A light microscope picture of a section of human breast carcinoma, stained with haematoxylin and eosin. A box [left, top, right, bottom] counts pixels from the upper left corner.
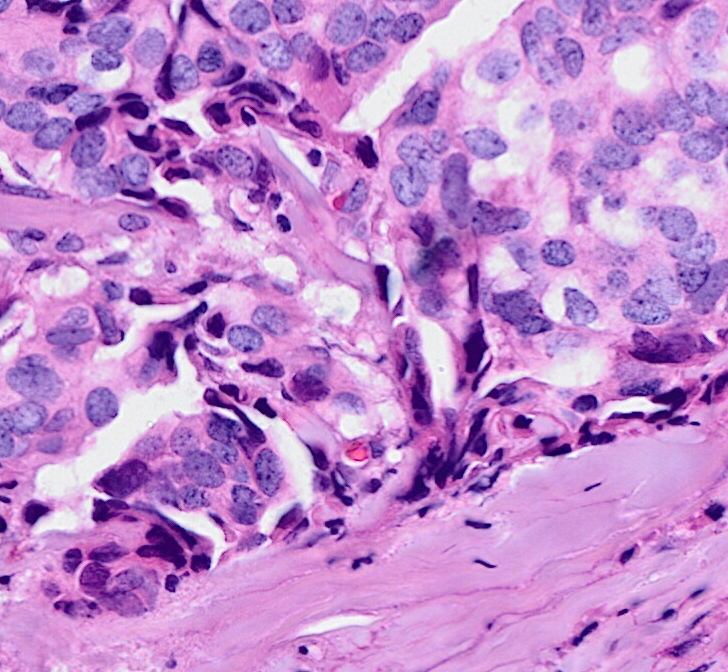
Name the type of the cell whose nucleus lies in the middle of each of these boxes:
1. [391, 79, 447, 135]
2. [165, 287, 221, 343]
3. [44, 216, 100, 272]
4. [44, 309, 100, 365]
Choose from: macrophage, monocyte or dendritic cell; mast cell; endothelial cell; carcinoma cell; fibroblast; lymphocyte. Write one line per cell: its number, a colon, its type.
1: carcinoma cell
2: carcinoma cell
3: macrophage, monocyte or dendritic cell
4: carcinoma cell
